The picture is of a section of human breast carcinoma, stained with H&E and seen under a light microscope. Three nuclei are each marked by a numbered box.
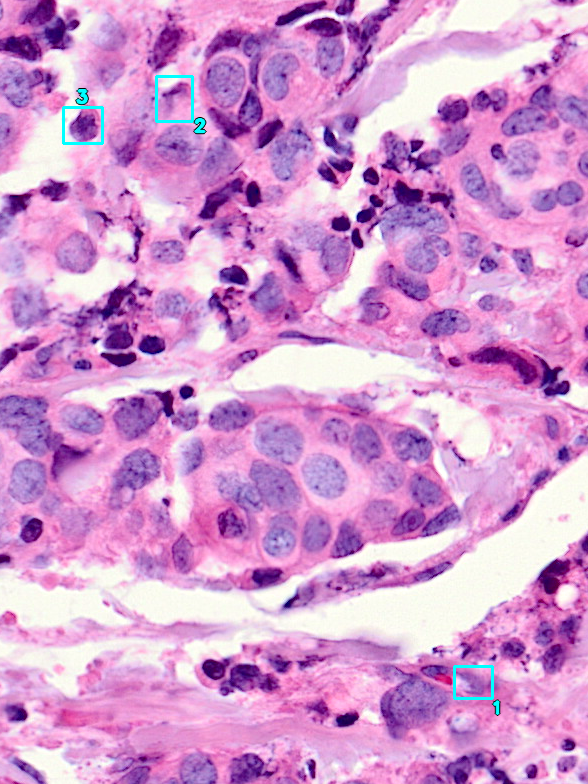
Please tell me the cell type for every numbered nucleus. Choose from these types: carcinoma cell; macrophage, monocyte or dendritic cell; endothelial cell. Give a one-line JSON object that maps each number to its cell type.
{"1": "endothelial cell", "2": "carcinoma cell", "3": "carcinoma cell"}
